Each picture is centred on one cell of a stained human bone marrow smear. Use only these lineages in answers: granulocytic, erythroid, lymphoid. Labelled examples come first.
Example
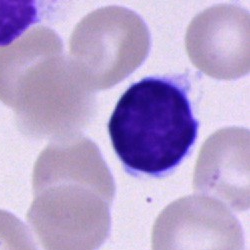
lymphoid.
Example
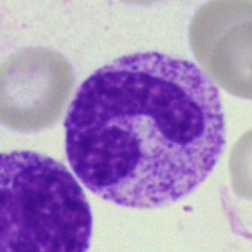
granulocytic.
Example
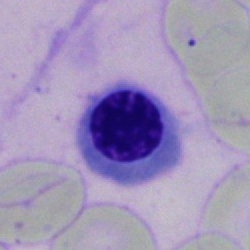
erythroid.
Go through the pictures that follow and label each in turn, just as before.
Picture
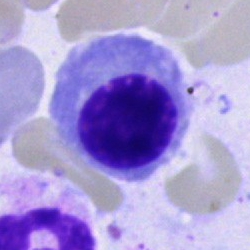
erythroid.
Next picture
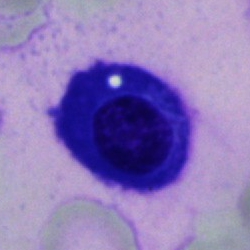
lymphoid.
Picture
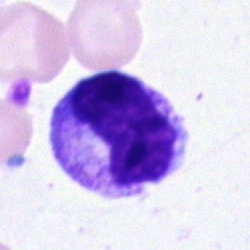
granulocytic.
